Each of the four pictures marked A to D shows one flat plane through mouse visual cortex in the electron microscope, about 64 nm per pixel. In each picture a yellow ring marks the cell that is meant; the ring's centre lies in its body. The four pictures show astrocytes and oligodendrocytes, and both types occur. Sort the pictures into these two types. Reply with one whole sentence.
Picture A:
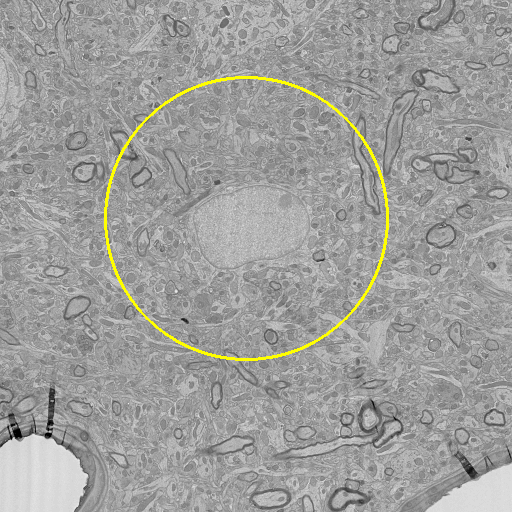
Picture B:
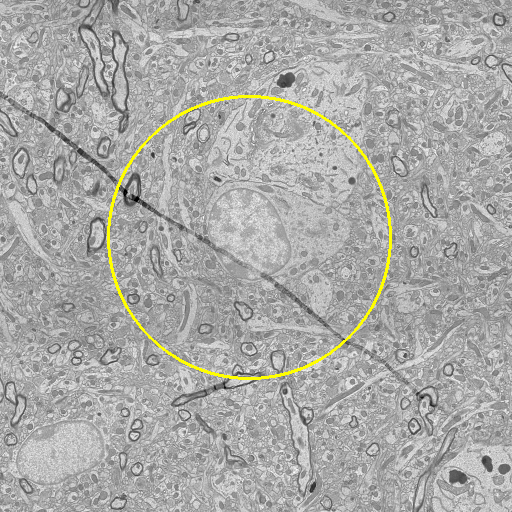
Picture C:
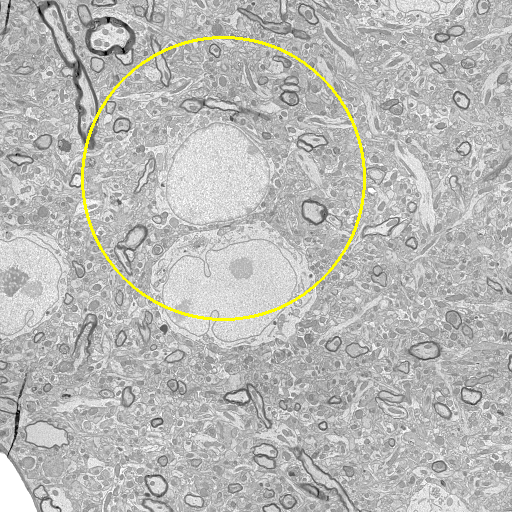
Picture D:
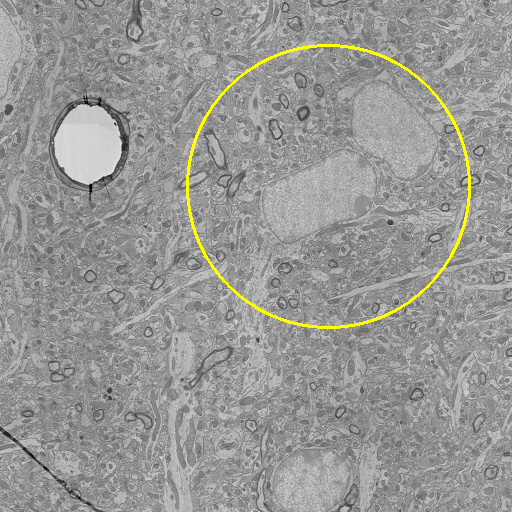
Pictures A, C and D show astrocytes; picture B shows an oligodendrocyte.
